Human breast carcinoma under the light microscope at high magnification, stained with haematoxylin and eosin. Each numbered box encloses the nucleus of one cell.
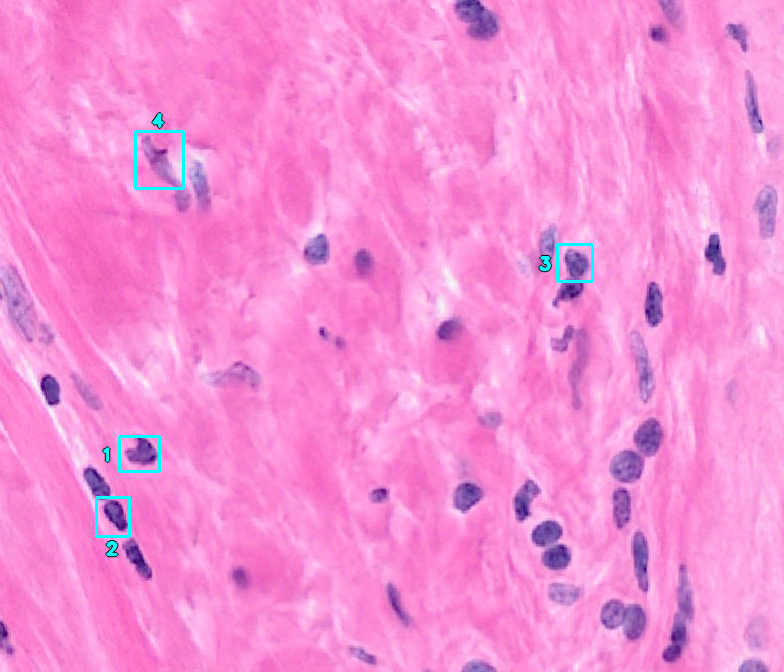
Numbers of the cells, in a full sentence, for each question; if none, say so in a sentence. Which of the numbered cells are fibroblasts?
Only number 4 of the marked cells is a fibroblast.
